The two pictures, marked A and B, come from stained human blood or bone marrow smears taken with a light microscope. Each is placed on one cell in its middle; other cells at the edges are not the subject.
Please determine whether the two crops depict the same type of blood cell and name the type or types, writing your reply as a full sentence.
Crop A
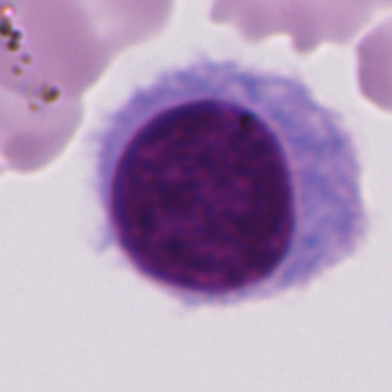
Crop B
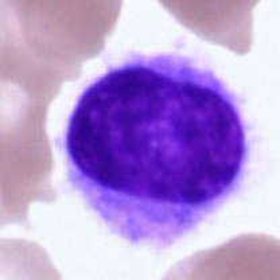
Yes, these two crops both show hairy cells.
